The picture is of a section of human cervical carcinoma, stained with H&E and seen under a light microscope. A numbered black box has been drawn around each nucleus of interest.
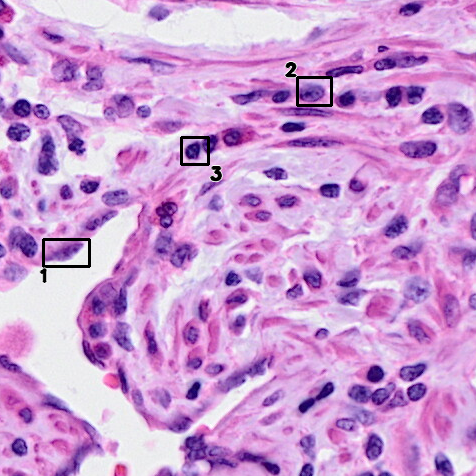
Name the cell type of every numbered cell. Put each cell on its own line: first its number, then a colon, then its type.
1: endothelial cell
2: lymphocyte
3: lymphocyte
